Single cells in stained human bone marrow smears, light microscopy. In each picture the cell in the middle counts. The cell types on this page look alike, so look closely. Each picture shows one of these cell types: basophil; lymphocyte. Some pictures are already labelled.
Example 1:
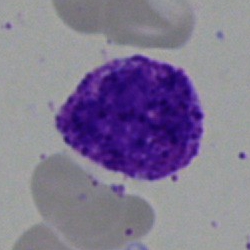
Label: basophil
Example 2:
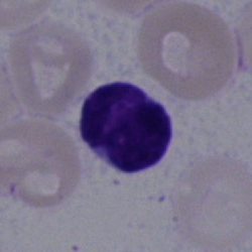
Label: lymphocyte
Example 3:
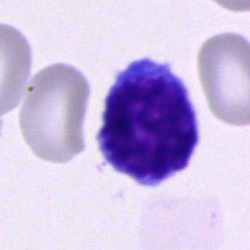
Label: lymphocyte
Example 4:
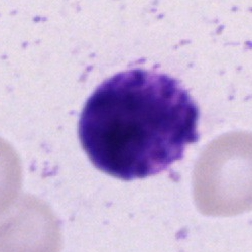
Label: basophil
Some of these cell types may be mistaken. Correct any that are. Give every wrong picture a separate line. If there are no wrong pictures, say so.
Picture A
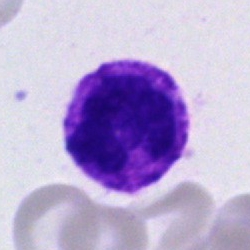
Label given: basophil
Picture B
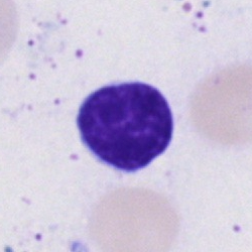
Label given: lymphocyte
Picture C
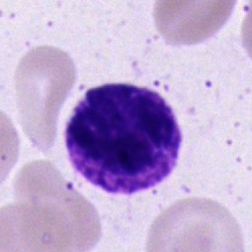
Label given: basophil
None of the labels needs changing.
